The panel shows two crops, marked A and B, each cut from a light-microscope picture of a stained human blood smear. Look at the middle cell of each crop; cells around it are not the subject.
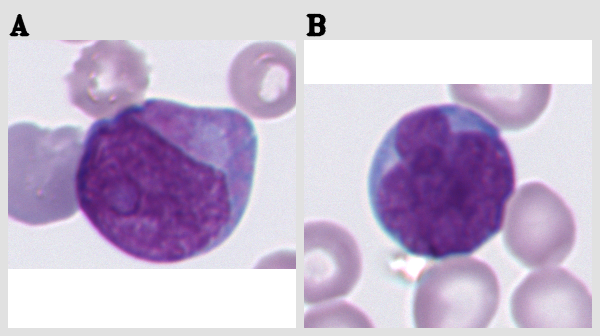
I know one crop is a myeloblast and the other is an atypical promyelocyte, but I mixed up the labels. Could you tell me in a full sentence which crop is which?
Identified in crop A is an atypical promyelocyte, with a myeloblast identified in crop B.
